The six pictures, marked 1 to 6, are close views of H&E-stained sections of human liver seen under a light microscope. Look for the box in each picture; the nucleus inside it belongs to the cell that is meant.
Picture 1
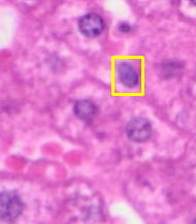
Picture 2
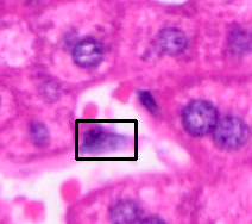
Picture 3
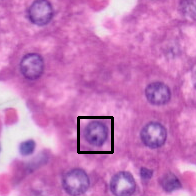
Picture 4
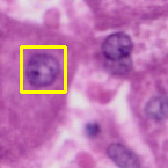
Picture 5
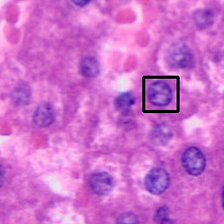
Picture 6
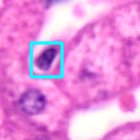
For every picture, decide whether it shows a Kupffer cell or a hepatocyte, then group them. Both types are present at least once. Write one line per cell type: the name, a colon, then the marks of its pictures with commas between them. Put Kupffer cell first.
Kupffer cell: 1, 2, 6
hepatocyte: 3, 4, 5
